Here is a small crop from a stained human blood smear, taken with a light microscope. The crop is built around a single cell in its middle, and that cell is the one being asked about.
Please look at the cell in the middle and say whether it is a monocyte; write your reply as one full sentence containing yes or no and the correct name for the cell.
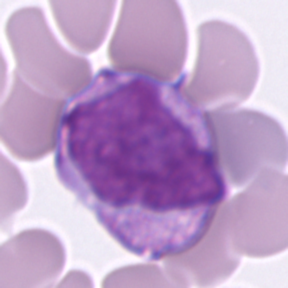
No, what the centre of the crop shows is an atypical promyelocyte, not a monocyte.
